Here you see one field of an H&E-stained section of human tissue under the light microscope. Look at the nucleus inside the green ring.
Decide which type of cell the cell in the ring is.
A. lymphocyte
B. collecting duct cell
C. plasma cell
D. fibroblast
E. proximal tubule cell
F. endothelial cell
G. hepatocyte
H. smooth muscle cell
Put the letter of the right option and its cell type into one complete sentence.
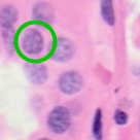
Since the cell in the ring is a collecting duct cell, option B is correct.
